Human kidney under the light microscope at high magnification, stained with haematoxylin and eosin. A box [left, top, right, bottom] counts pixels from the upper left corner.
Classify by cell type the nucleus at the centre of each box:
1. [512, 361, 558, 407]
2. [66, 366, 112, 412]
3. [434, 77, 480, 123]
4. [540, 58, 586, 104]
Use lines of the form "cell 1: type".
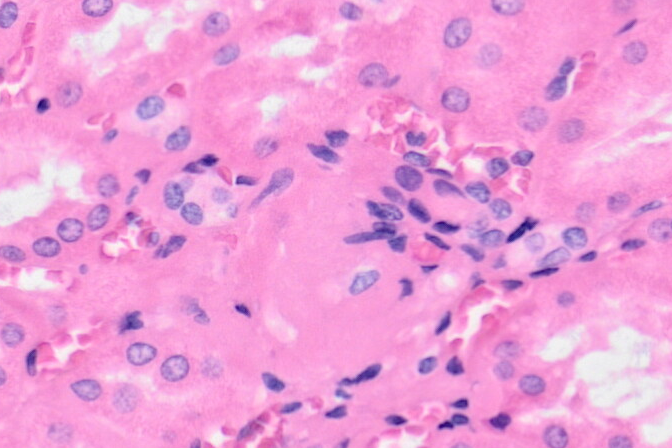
cell 1: proximal tubule cell
cell 2: proximal tubule cell
cell 3: proximal tubule cell
cell 4: endothelial cell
